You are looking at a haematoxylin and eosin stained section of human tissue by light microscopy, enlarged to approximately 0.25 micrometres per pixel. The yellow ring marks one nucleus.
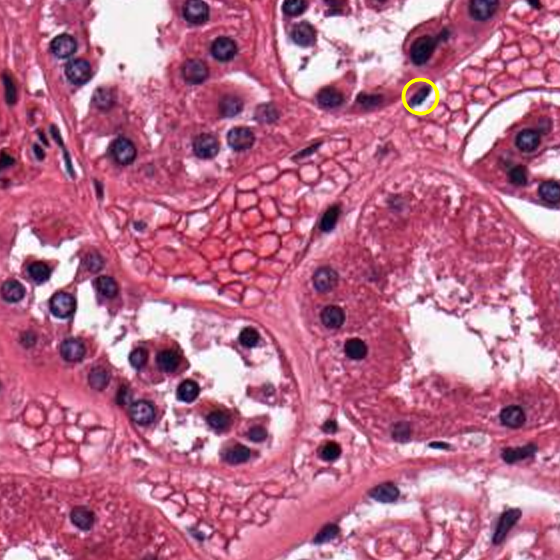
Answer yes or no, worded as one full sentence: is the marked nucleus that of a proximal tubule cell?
No, the marked nucleus is that of a supporting cell instead of a proximal tubule cell.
